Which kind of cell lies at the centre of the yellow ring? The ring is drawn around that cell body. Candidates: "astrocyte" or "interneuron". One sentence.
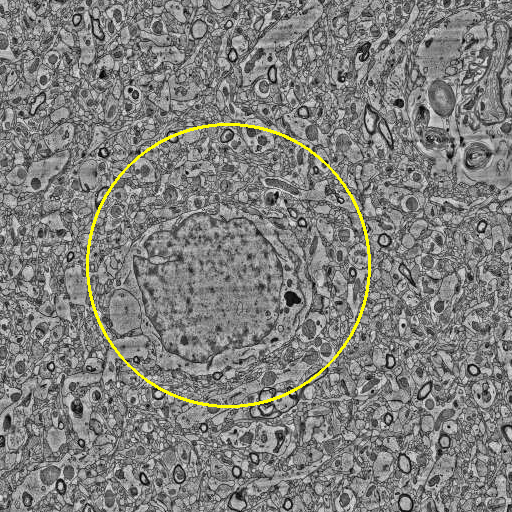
Lying at the centre of the ring is an interneuron.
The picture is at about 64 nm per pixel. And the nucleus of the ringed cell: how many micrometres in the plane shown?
Approximately 10 micrometres across in this plane.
